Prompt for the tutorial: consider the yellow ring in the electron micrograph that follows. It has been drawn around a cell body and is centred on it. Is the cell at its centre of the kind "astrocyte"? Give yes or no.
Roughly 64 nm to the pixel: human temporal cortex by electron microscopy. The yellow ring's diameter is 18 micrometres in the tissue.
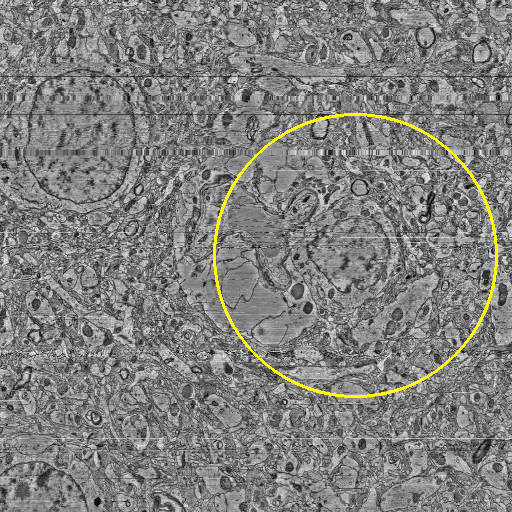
no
